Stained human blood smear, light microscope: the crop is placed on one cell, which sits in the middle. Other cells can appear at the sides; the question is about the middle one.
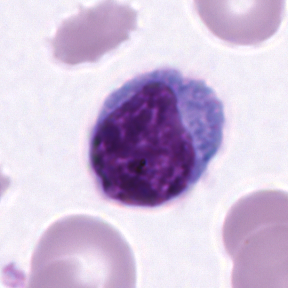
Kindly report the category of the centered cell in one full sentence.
In the center of this field lies a plasma cell.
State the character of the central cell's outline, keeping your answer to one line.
No surface projections are present; the cell outline is smooth.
